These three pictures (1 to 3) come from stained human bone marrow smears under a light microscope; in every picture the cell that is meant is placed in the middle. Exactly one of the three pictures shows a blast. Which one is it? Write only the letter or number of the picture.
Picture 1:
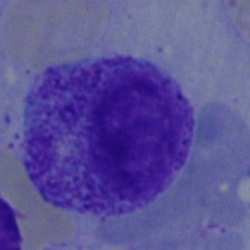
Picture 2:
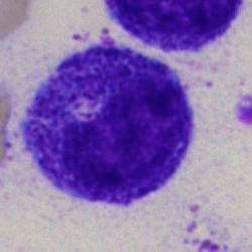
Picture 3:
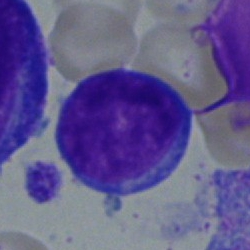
3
